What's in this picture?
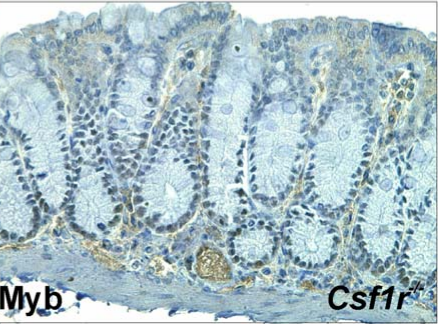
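Colonic crypts cut lengthwise, lined by columnar epithelium with many pale, vacuolated cells and blue-counterstained nuclei. Brown nuclear staining at the crypt bases is sparse, and light brown staining lies mostly in the stroma between crypts.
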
